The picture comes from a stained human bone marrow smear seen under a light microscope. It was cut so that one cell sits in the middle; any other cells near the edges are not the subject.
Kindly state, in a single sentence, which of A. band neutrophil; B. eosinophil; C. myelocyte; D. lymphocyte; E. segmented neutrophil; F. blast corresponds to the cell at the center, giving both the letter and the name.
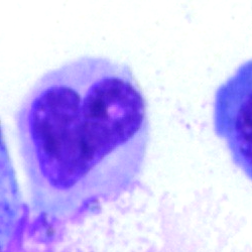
The cell right in the middle is a band neutrophil, so option A is the one.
